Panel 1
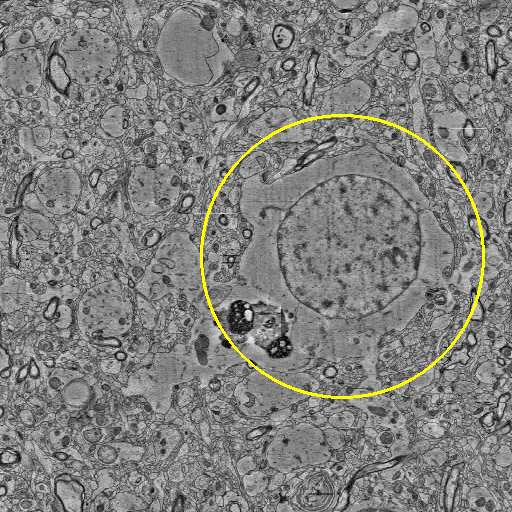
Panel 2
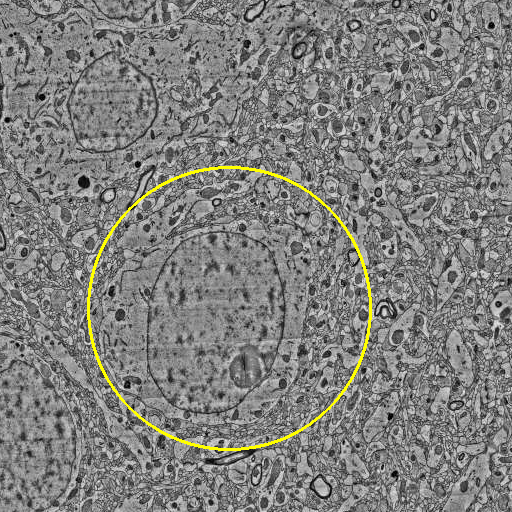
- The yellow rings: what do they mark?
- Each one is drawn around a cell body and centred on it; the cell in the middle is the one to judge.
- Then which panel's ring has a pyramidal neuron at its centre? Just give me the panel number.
2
